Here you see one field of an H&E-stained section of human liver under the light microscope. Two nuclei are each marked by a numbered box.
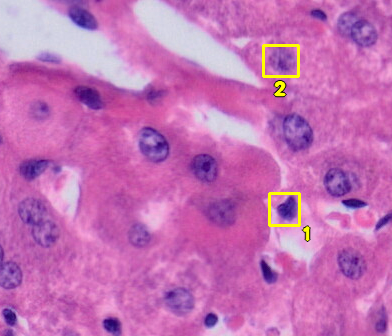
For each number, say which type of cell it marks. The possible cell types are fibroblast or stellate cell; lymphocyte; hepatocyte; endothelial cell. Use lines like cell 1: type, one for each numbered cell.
cell 1: fibroblast or stellate cell
cell 2: hepatocyte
